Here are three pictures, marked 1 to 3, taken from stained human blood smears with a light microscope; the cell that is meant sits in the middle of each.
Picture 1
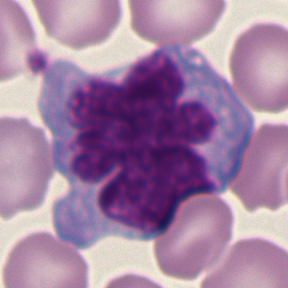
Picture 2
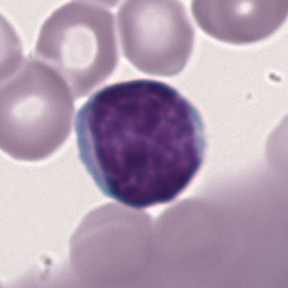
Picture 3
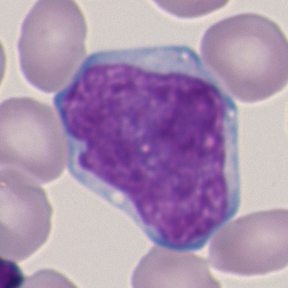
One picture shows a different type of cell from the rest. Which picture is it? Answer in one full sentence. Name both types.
All pictures except 1 show myeloblasts; picture 1 shows a monocyte.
